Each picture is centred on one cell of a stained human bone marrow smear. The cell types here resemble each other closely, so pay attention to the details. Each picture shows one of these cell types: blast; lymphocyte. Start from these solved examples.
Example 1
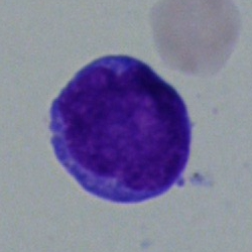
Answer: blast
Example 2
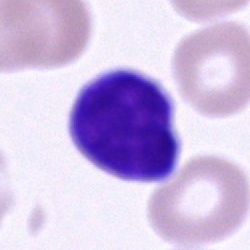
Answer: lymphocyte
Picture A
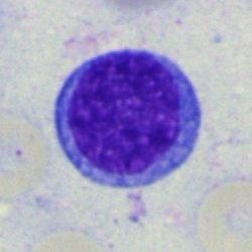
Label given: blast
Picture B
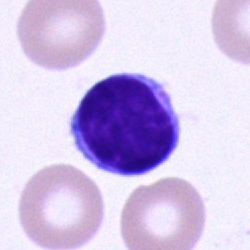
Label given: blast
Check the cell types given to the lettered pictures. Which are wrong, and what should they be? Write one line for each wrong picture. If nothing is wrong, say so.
Wrong: B (blast); correct: lymphocyte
